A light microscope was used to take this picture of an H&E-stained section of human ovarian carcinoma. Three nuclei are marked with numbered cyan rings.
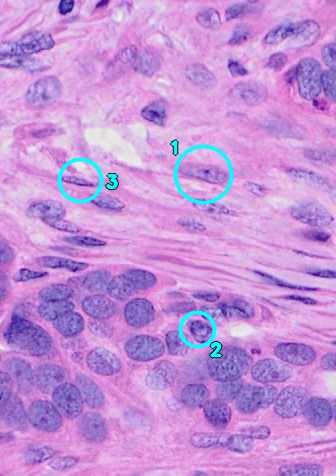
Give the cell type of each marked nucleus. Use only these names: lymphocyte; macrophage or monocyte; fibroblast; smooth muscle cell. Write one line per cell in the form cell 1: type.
cell 1: fibroblast
cell 2: macrophage or monocyte
cell 3: fibroblast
